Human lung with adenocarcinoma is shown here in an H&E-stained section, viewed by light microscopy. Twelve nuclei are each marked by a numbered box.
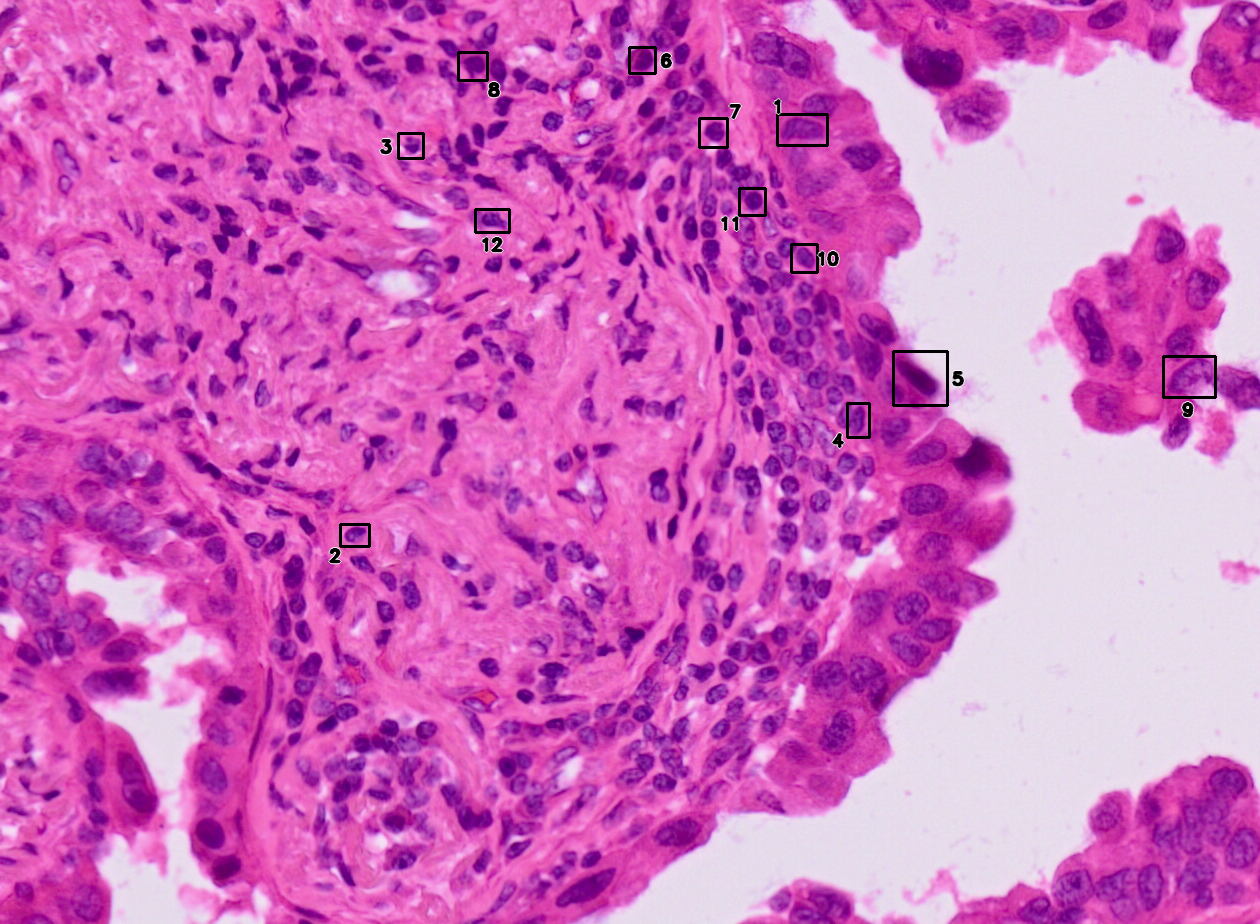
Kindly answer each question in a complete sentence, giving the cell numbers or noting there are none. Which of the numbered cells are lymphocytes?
The cells that the numbers 2, 3, 4, 7, 10, 11 and 12 belong to are lymphocytes.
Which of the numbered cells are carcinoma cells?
Into the category of carcinoma cells fall the cells numbered 1, 5 and 9.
